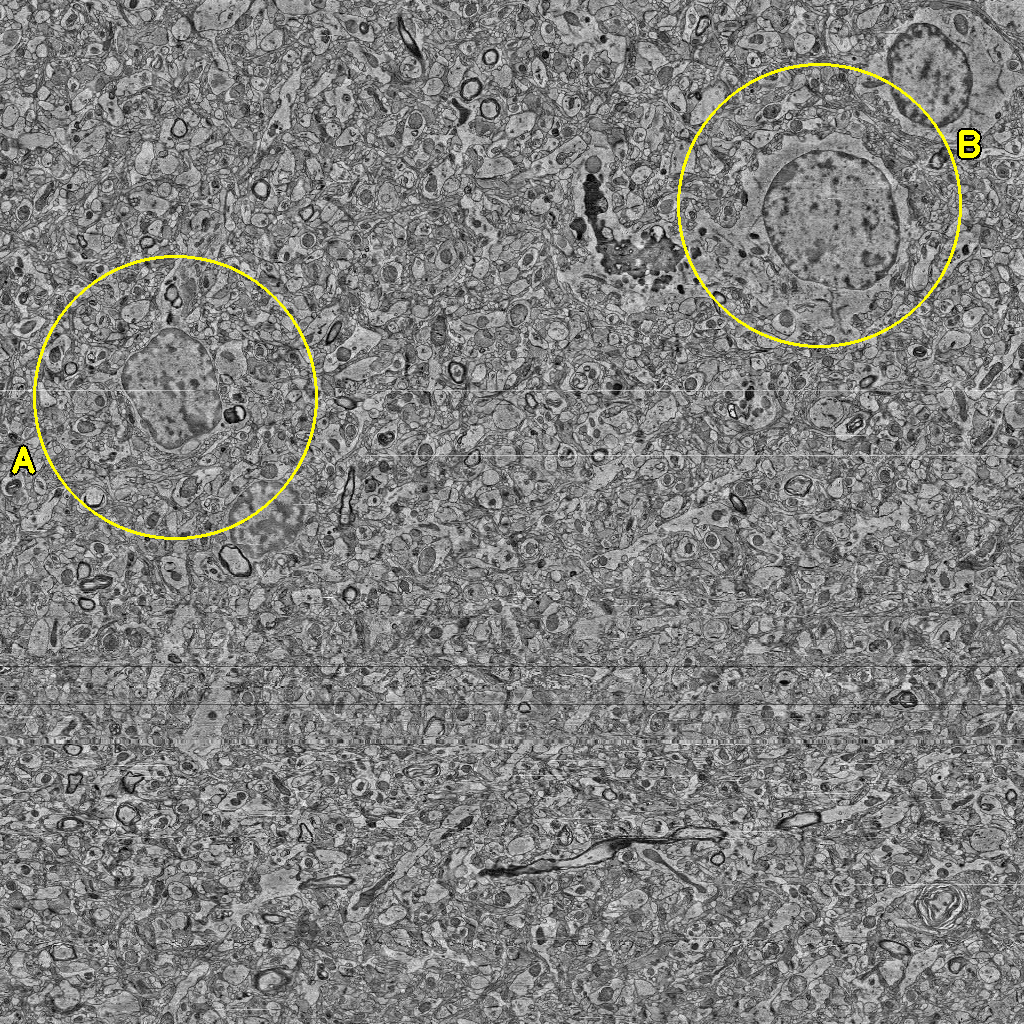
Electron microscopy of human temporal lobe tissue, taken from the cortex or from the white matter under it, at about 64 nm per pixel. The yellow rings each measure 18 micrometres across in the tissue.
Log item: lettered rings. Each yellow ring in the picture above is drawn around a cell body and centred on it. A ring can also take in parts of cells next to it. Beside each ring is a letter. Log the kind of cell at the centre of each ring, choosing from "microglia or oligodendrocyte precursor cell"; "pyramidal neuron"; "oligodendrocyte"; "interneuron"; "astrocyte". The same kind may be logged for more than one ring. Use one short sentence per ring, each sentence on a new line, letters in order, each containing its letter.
Within ring A, the centre is taken by a microglial cell or oligodendrocyte precursor cell.
Within ring B, the centre is taken by an astrocyte.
